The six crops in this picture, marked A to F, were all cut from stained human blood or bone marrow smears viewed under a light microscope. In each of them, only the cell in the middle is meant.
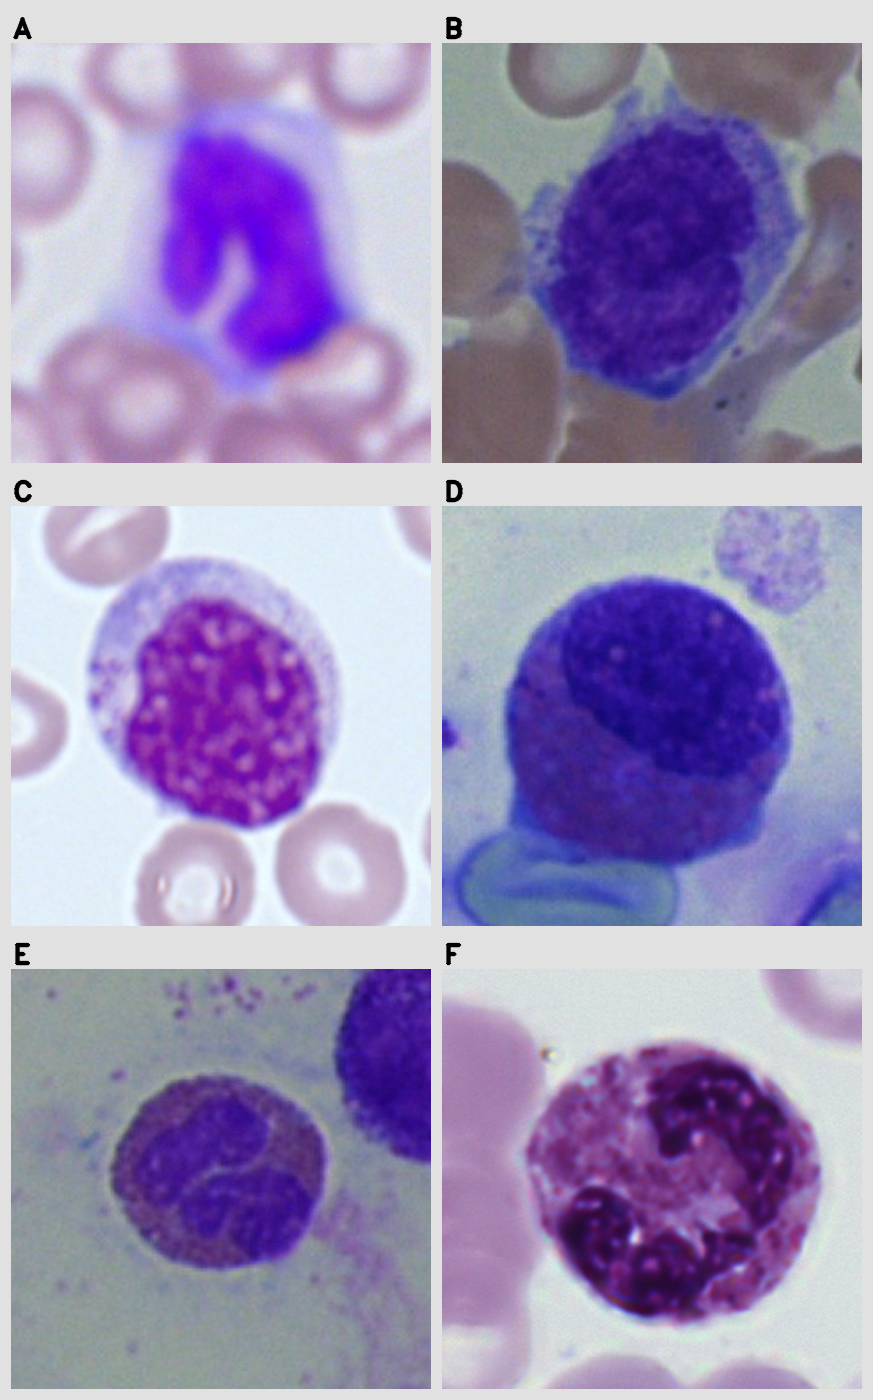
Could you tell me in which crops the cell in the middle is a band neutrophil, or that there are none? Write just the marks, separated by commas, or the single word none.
none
